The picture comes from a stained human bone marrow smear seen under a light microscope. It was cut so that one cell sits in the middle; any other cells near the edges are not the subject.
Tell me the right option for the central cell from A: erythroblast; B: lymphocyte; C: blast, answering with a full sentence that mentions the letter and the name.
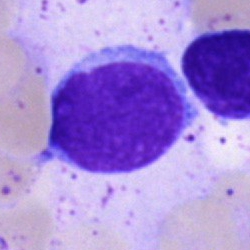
Of the choices given, option C is right, as the central cell is a blast.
